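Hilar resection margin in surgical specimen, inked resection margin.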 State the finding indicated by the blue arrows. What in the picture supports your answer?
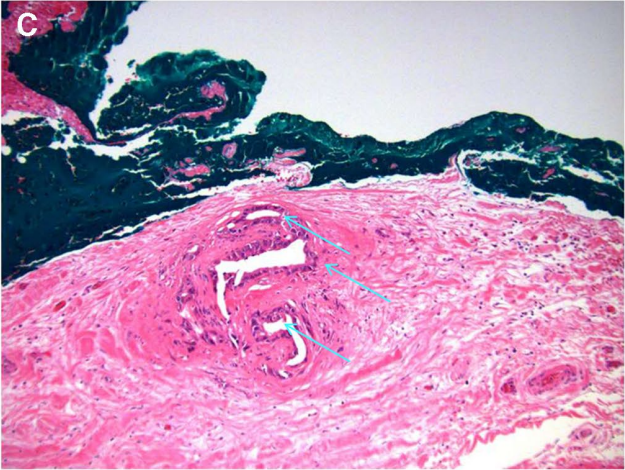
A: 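Small gland-like spaces lined by atypical cells sit within a round, concentrically layered bundle. The bundle lies just beneath the dark green-black inked edge. On this evidence: perineural growth.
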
